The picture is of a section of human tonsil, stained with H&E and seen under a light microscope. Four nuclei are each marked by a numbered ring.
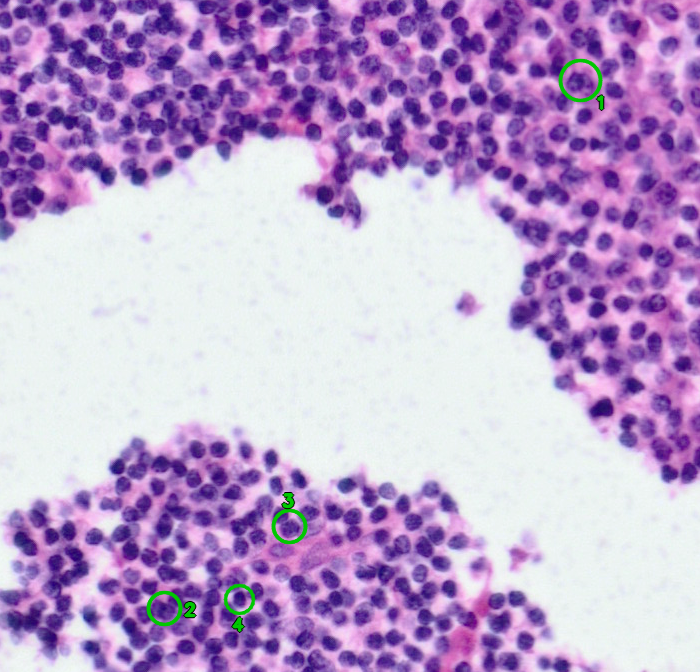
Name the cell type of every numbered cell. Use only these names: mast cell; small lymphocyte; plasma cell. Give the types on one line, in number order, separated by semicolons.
plasma cell; small lymphocyte; small lymphocyte; small lymphocyte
